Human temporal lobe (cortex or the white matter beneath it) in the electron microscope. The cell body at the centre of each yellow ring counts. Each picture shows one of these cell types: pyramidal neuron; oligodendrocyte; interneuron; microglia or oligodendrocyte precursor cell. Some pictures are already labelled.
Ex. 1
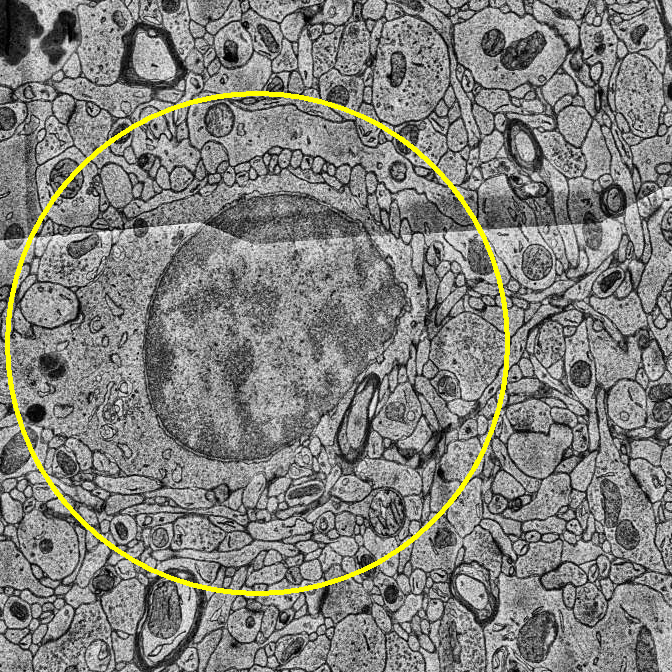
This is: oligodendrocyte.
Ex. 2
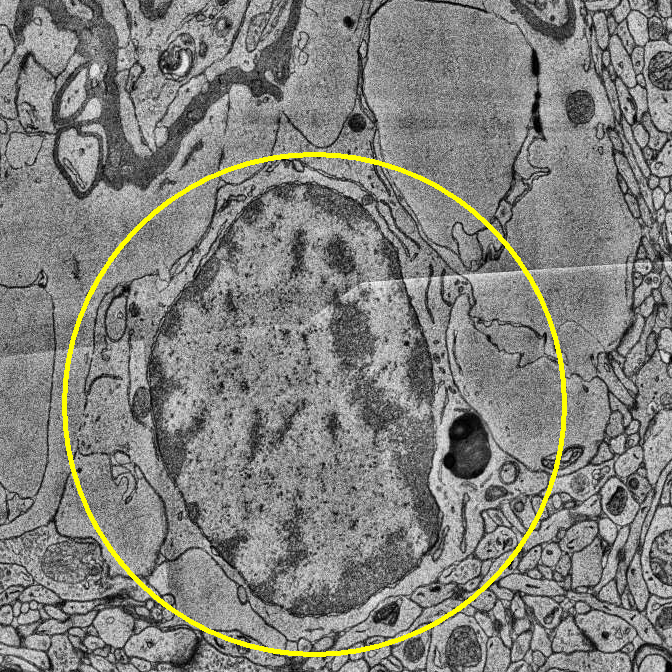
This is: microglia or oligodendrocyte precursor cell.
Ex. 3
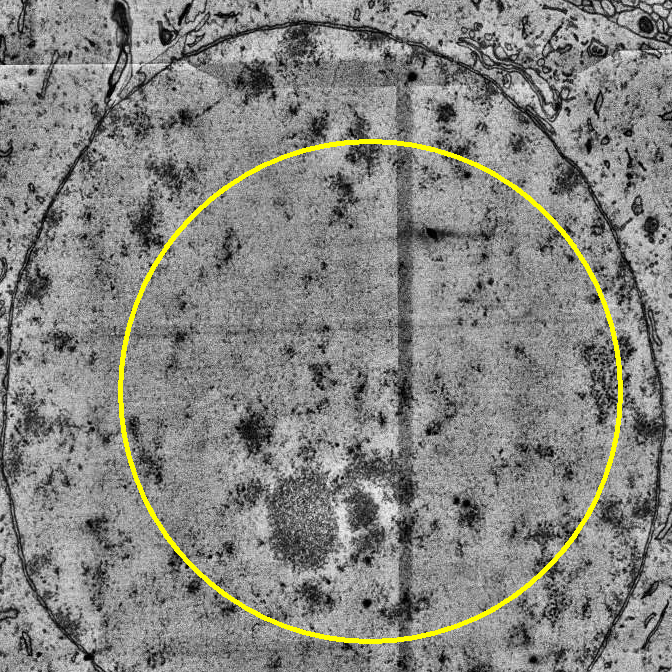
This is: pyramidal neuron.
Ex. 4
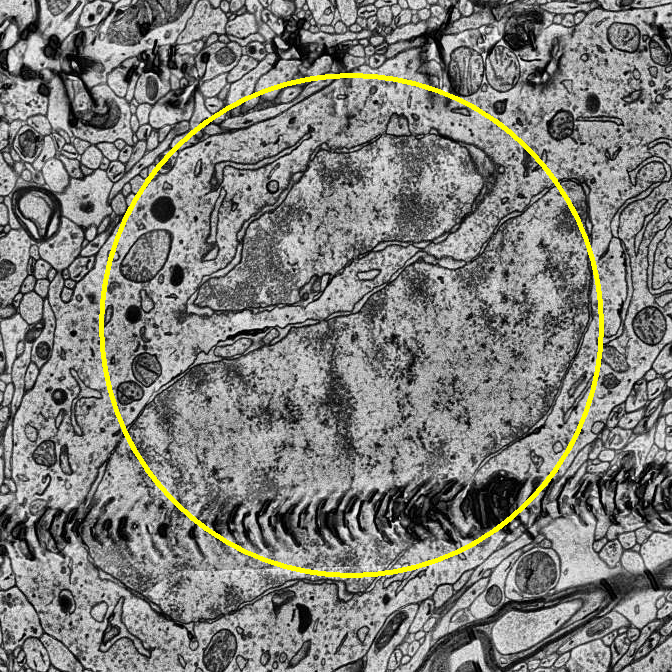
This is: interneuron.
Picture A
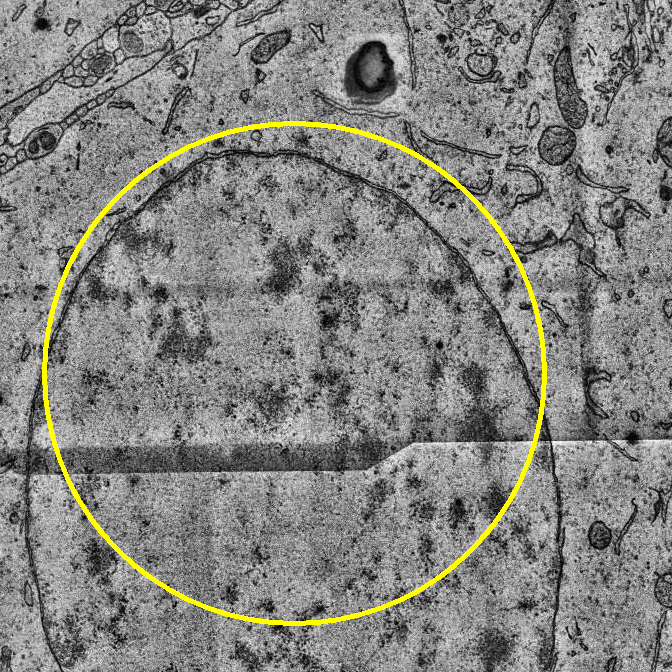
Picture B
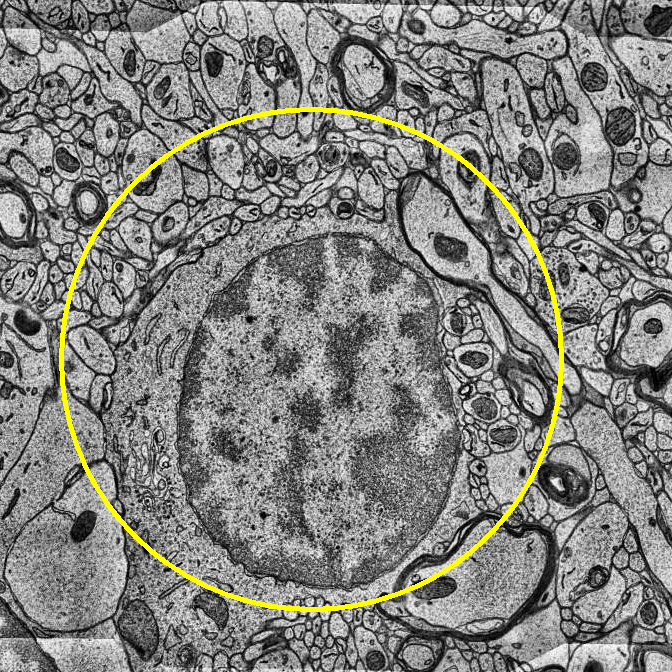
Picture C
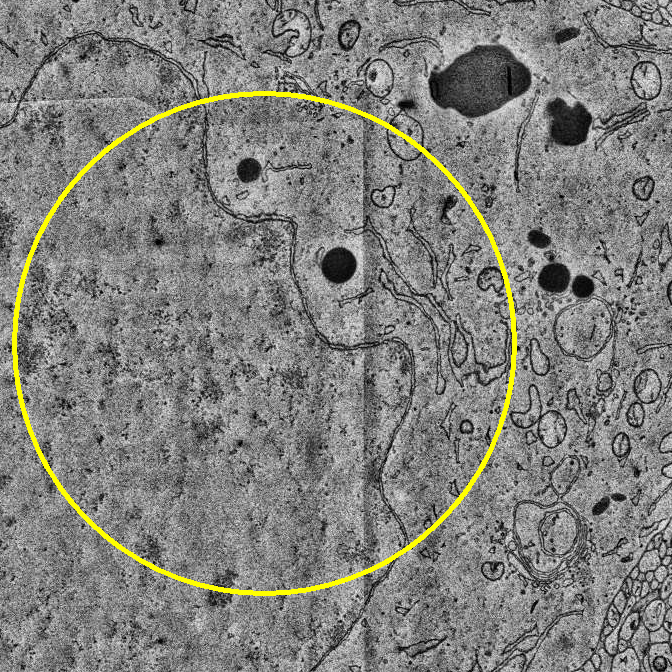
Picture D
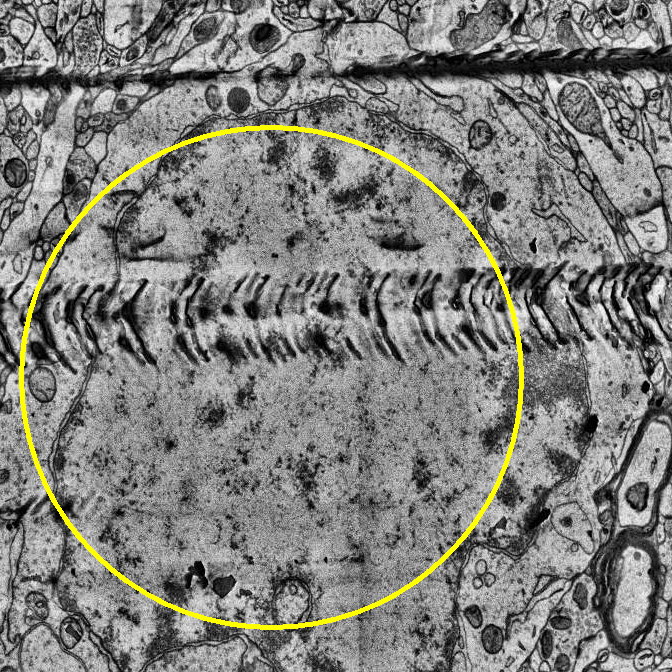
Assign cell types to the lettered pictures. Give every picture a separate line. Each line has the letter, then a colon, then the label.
A: pyramidal neuron.
B: oligodendrocyte.
C: pyramidal neuron.
D: interneuron.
